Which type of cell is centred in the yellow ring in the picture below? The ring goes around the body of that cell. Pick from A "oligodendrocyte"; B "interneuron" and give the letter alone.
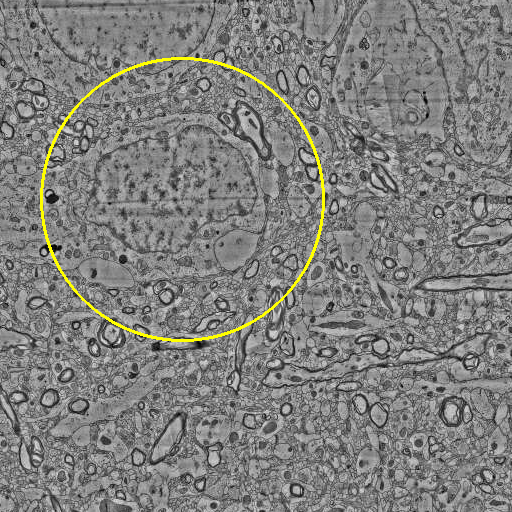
B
